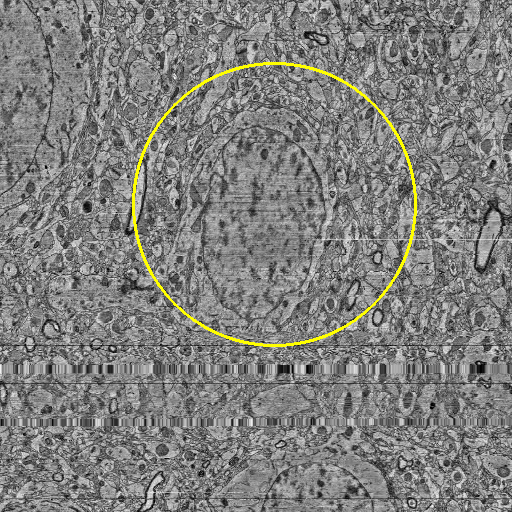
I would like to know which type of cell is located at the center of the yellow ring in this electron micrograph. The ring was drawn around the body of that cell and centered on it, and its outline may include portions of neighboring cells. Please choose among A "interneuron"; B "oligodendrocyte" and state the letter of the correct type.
A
